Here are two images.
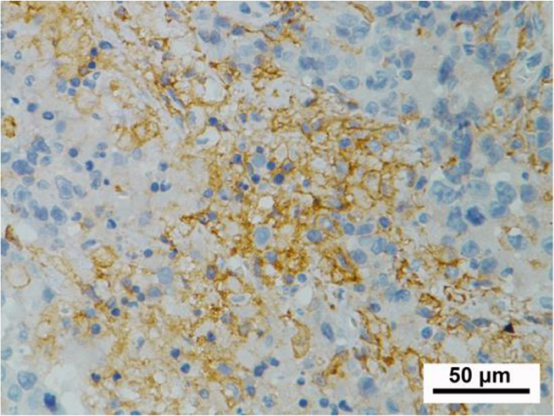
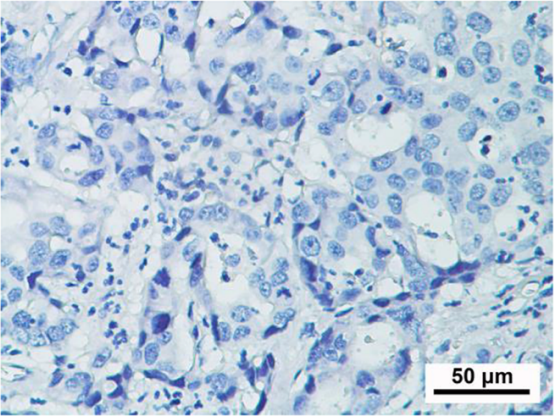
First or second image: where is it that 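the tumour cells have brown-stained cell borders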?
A: The first image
